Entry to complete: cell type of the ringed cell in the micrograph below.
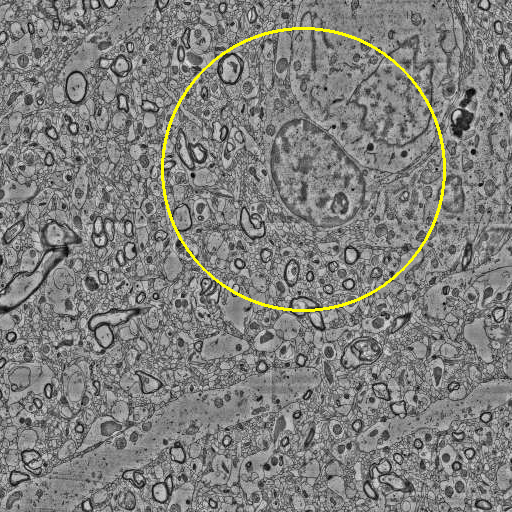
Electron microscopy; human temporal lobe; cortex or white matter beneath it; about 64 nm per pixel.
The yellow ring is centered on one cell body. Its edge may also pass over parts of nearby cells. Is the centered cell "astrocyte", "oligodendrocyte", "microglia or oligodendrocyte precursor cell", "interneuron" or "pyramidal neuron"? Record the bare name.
oligodendrocyte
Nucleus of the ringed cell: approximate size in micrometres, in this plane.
About 7 by 5 micrometres in this plane.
